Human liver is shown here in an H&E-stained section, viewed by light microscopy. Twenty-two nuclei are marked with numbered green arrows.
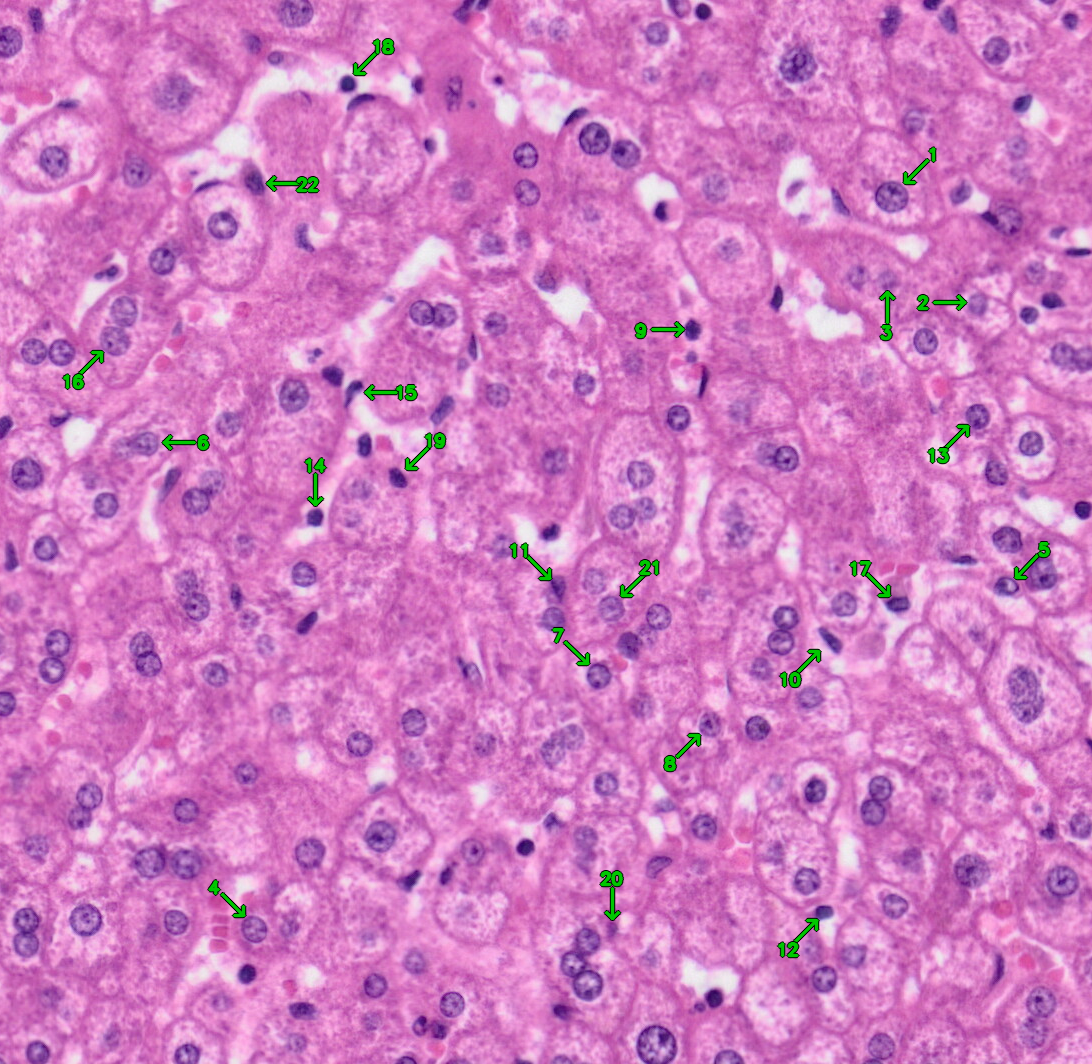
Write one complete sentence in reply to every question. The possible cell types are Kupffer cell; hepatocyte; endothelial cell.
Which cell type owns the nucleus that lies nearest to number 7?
Number 7 lies closest to the nucleus of an endothelial cell.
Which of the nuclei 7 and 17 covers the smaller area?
Nucleus 17 covers less area, with nucleus 7 about 1.5 times as large.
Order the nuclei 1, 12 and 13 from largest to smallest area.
The nuclei rank 1, 13, 12, from largest to smallest.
